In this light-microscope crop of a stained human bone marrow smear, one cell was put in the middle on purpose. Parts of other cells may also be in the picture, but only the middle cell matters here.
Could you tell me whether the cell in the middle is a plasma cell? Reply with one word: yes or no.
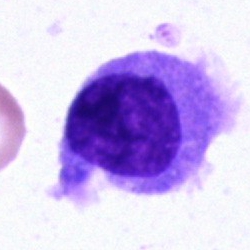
yes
